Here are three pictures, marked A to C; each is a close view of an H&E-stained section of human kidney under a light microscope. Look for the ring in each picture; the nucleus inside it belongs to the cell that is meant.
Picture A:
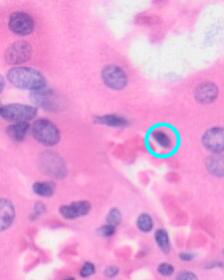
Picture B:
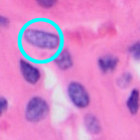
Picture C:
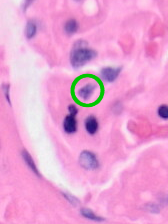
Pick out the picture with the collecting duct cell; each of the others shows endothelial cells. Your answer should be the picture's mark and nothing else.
B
